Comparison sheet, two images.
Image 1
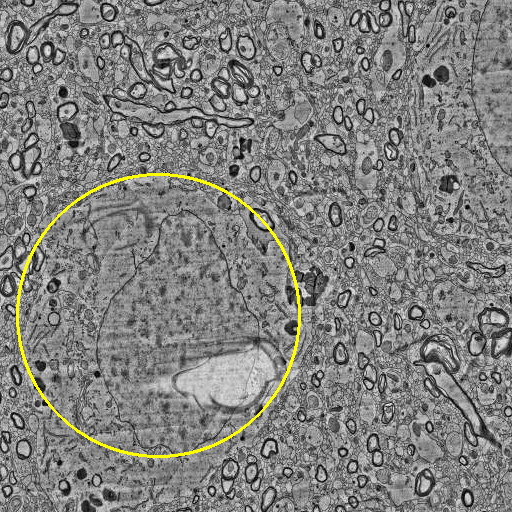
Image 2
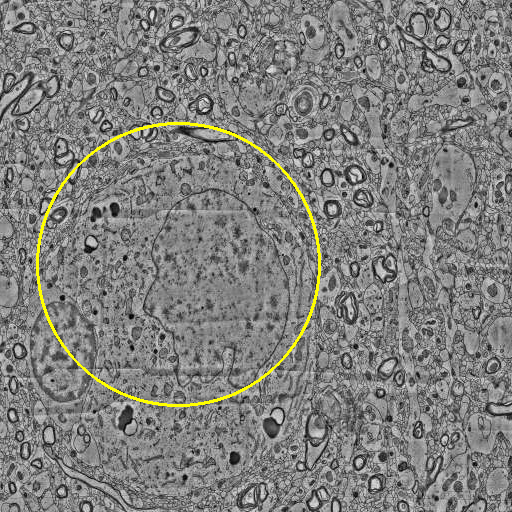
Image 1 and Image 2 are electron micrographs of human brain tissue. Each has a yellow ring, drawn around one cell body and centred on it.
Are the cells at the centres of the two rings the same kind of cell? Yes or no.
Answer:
yes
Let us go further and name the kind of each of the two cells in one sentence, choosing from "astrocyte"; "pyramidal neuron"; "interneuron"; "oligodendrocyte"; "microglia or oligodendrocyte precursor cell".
Each cell at the centre of a ring is a pyramidal neuron.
